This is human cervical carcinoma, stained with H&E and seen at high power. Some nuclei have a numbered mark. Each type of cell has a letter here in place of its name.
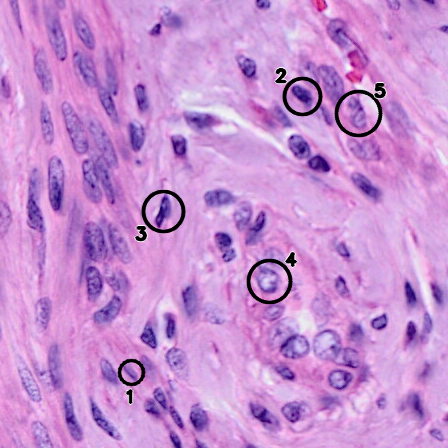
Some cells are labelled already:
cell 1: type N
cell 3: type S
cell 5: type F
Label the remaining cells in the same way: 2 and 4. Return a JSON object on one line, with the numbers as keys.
{"2": "type S", "4": "type F"}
